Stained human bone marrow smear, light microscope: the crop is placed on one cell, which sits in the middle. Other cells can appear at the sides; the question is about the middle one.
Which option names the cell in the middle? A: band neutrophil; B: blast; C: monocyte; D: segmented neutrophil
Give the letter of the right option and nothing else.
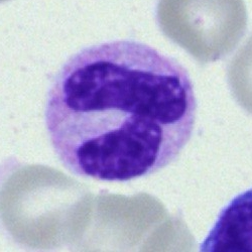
A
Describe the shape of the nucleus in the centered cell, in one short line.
We find a nucleus divided into at least two lobes.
